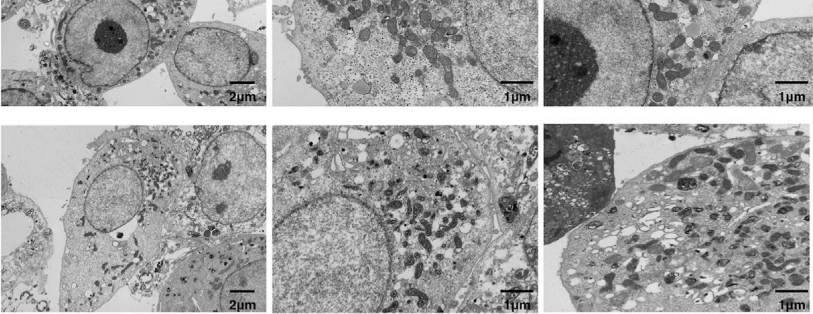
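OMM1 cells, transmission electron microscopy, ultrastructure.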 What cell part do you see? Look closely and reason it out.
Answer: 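Numerous small oval and elongated dark organelles are scattered through the cytoplasm around the nucleus.
Conclusion: mitochondria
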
